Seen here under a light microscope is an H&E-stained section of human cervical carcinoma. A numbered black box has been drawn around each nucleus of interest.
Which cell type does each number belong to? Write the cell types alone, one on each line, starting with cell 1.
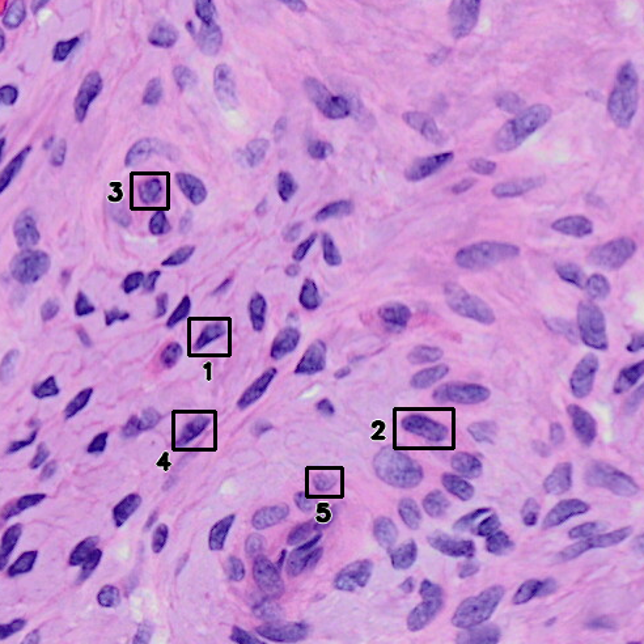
fibroblast
smooth muscle cell
endothelial cell
fibroblast
smooth muscle cell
